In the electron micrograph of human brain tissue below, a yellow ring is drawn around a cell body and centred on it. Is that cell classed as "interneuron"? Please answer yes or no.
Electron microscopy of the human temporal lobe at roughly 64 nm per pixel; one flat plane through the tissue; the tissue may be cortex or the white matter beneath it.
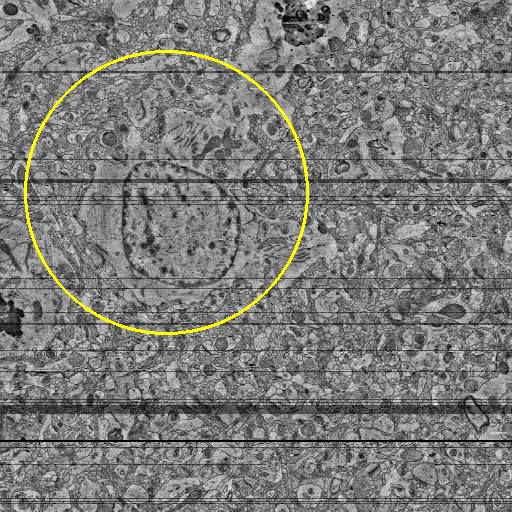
no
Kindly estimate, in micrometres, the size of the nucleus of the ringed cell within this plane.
Approximately 9 x 8 micrometres in this plane.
